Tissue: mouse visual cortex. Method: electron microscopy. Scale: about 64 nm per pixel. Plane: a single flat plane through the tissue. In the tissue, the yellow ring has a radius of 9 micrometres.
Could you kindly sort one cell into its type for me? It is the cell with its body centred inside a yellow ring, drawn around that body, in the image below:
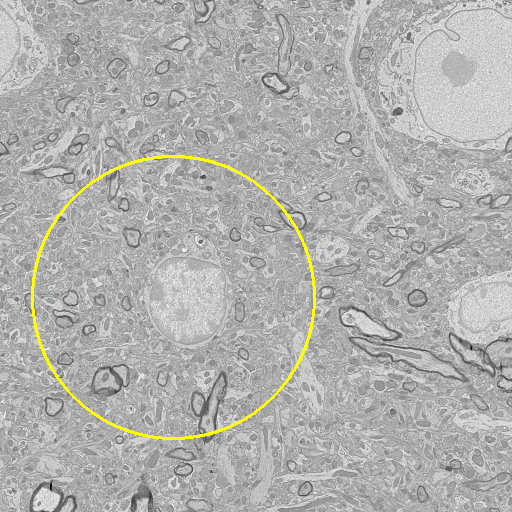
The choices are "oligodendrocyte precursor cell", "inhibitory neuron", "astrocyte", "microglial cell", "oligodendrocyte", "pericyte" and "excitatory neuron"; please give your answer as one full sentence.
The cell whose body lies centred in the yellow ring here is an oligodendrocyte.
